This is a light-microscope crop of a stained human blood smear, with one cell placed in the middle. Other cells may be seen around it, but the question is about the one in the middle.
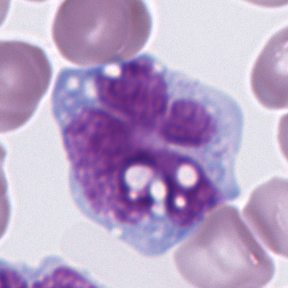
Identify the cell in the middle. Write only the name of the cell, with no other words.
monocyte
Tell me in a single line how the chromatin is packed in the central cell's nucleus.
In this cell the chromatin is fine rather than coarsely clumped.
